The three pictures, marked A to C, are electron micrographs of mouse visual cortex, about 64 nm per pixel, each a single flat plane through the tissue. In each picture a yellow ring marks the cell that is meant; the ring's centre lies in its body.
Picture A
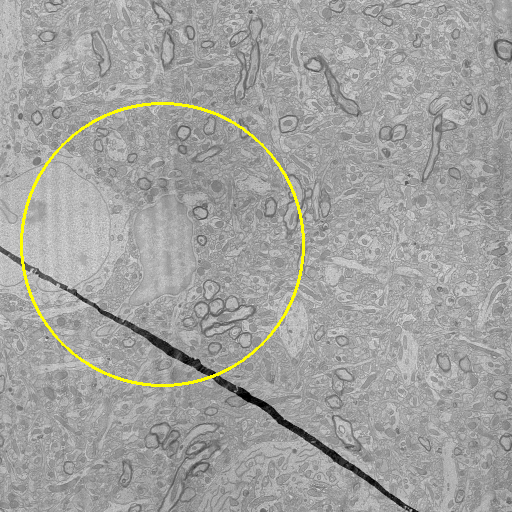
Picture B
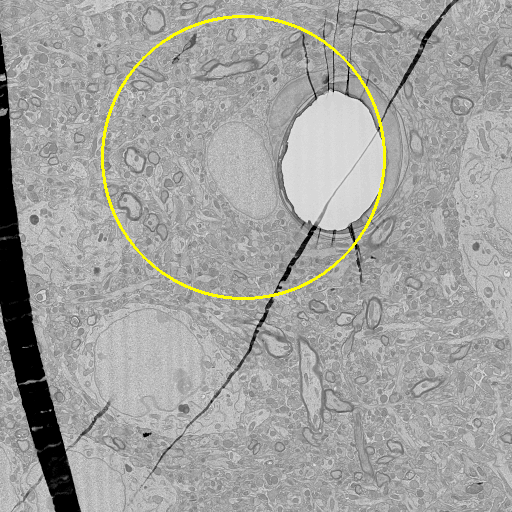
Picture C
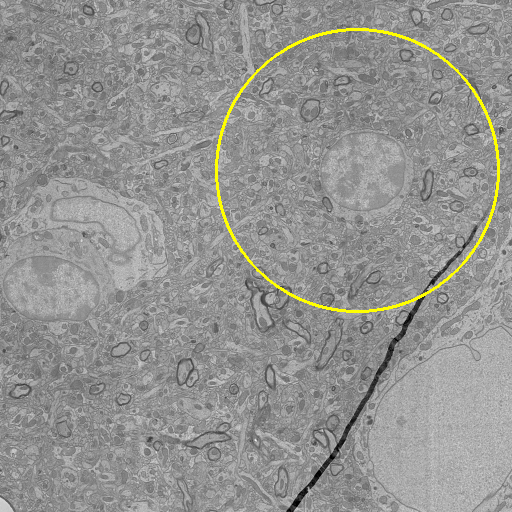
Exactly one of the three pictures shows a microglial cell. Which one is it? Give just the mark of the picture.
A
